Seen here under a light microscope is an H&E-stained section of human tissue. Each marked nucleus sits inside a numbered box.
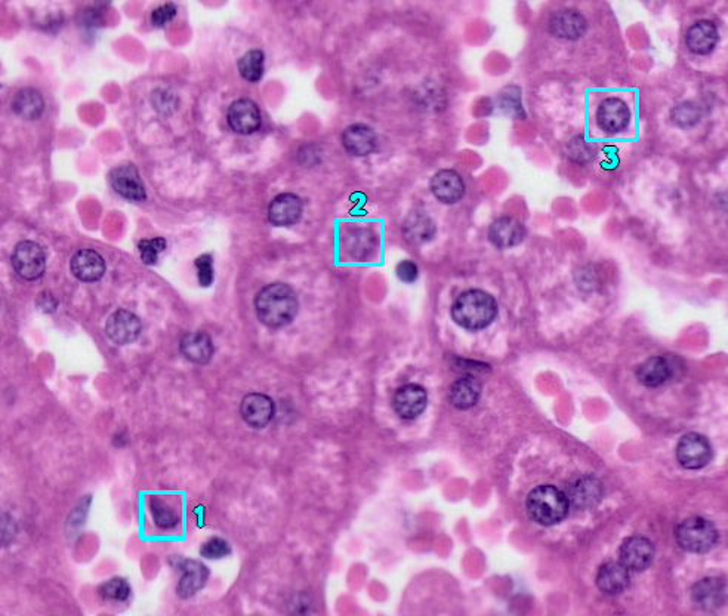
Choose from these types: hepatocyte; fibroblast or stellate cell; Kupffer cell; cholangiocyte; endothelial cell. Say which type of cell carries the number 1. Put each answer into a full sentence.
The cell marked with number 1 is a fibroblast or stellate cell.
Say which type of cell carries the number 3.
The cell identified by number 3 is a hepatocyte.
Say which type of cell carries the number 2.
The cell assigned the number 2 is a hepatocyte.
